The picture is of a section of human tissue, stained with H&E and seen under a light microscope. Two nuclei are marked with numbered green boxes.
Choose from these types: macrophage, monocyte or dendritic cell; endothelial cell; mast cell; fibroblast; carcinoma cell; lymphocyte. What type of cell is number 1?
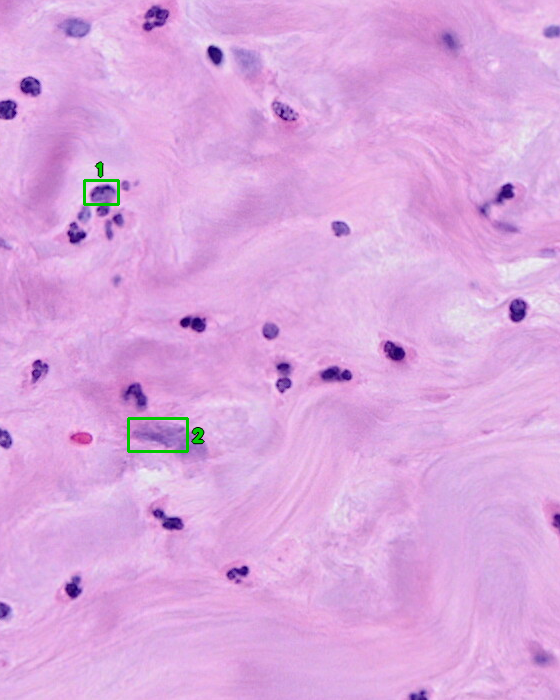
lymphocyte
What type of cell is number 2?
fibroblast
